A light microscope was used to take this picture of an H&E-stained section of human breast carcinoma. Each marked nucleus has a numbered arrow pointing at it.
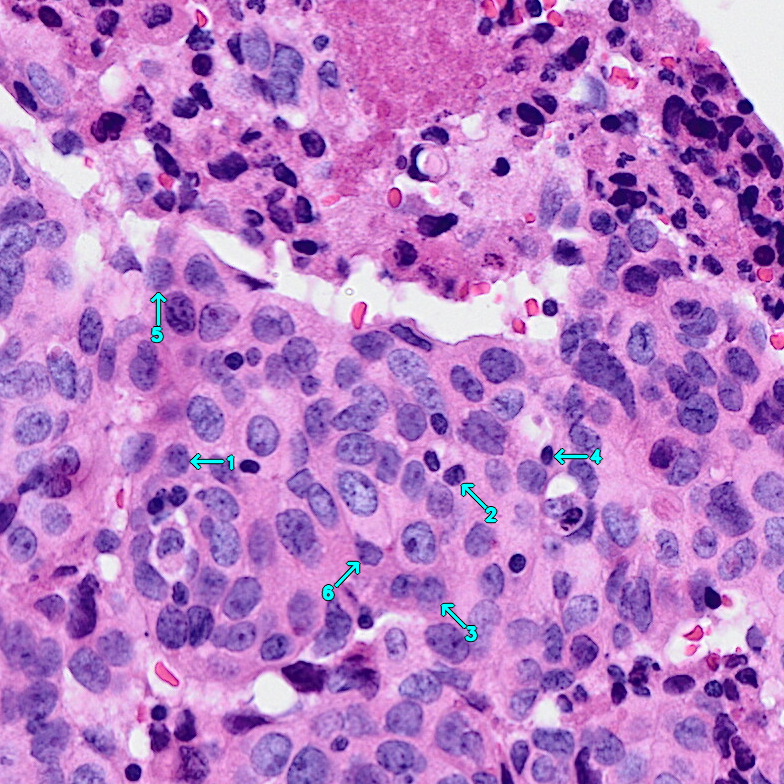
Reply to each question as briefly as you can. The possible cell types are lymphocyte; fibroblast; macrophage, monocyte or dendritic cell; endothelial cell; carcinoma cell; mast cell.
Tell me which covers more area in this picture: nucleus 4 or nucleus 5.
5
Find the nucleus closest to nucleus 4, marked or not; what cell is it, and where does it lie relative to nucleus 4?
a carcinoma cell; below and to the left of nucleus 4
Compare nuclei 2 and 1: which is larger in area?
1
